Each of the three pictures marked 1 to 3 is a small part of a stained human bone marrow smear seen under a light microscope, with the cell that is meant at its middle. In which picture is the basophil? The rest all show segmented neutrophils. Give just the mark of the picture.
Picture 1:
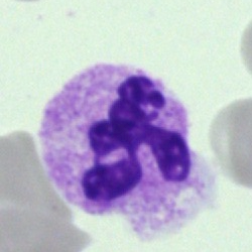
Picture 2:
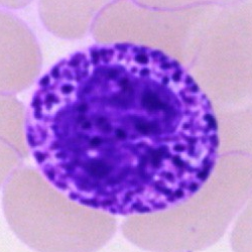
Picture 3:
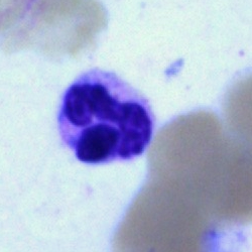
2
